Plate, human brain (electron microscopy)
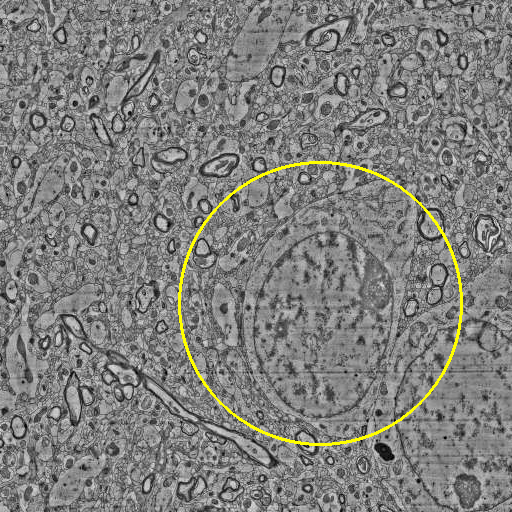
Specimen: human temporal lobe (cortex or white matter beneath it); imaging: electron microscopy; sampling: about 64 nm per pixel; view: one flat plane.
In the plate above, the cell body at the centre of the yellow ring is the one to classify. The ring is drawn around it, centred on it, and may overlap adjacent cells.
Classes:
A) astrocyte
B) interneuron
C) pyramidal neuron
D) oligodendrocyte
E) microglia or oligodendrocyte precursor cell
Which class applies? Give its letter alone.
C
